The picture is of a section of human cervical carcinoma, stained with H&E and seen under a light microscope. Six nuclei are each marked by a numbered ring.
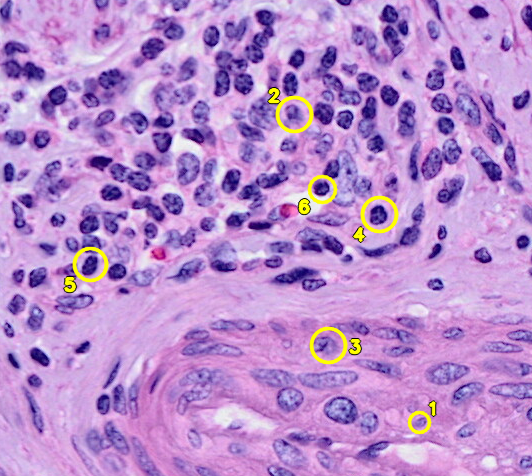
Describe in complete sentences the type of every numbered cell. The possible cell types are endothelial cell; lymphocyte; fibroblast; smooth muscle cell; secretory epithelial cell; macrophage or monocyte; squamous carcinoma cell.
Cells 1 and 3 are smooth muscle cells. Cells 2, 4, 5 and 6 are lymphocytes.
